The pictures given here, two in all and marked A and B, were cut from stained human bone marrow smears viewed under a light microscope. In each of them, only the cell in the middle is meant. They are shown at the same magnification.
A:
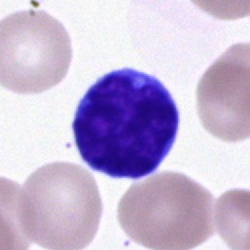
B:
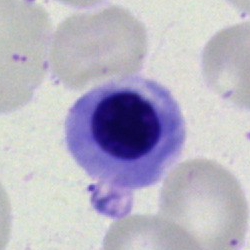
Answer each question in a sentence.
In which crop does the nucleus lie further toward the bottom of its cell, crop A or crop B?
In crop A the nucleus is shifted more toward the bottom.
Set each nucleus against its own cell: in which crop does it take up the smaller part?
In crop B the nucleus takes up the smaller part of its cell.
